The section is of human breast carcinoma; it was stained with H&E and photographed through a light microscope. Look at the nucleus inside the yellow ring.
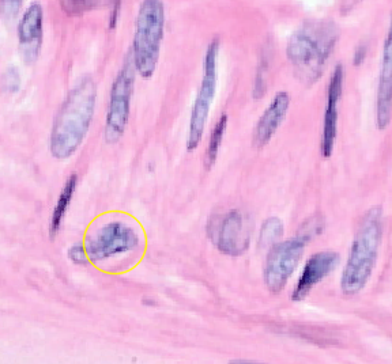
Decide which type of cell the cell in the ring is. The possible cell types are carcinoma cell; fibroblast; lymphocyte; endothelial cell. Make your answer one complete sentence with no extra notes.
In this field of tissue, the cell in the ring is an endothelial cell.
